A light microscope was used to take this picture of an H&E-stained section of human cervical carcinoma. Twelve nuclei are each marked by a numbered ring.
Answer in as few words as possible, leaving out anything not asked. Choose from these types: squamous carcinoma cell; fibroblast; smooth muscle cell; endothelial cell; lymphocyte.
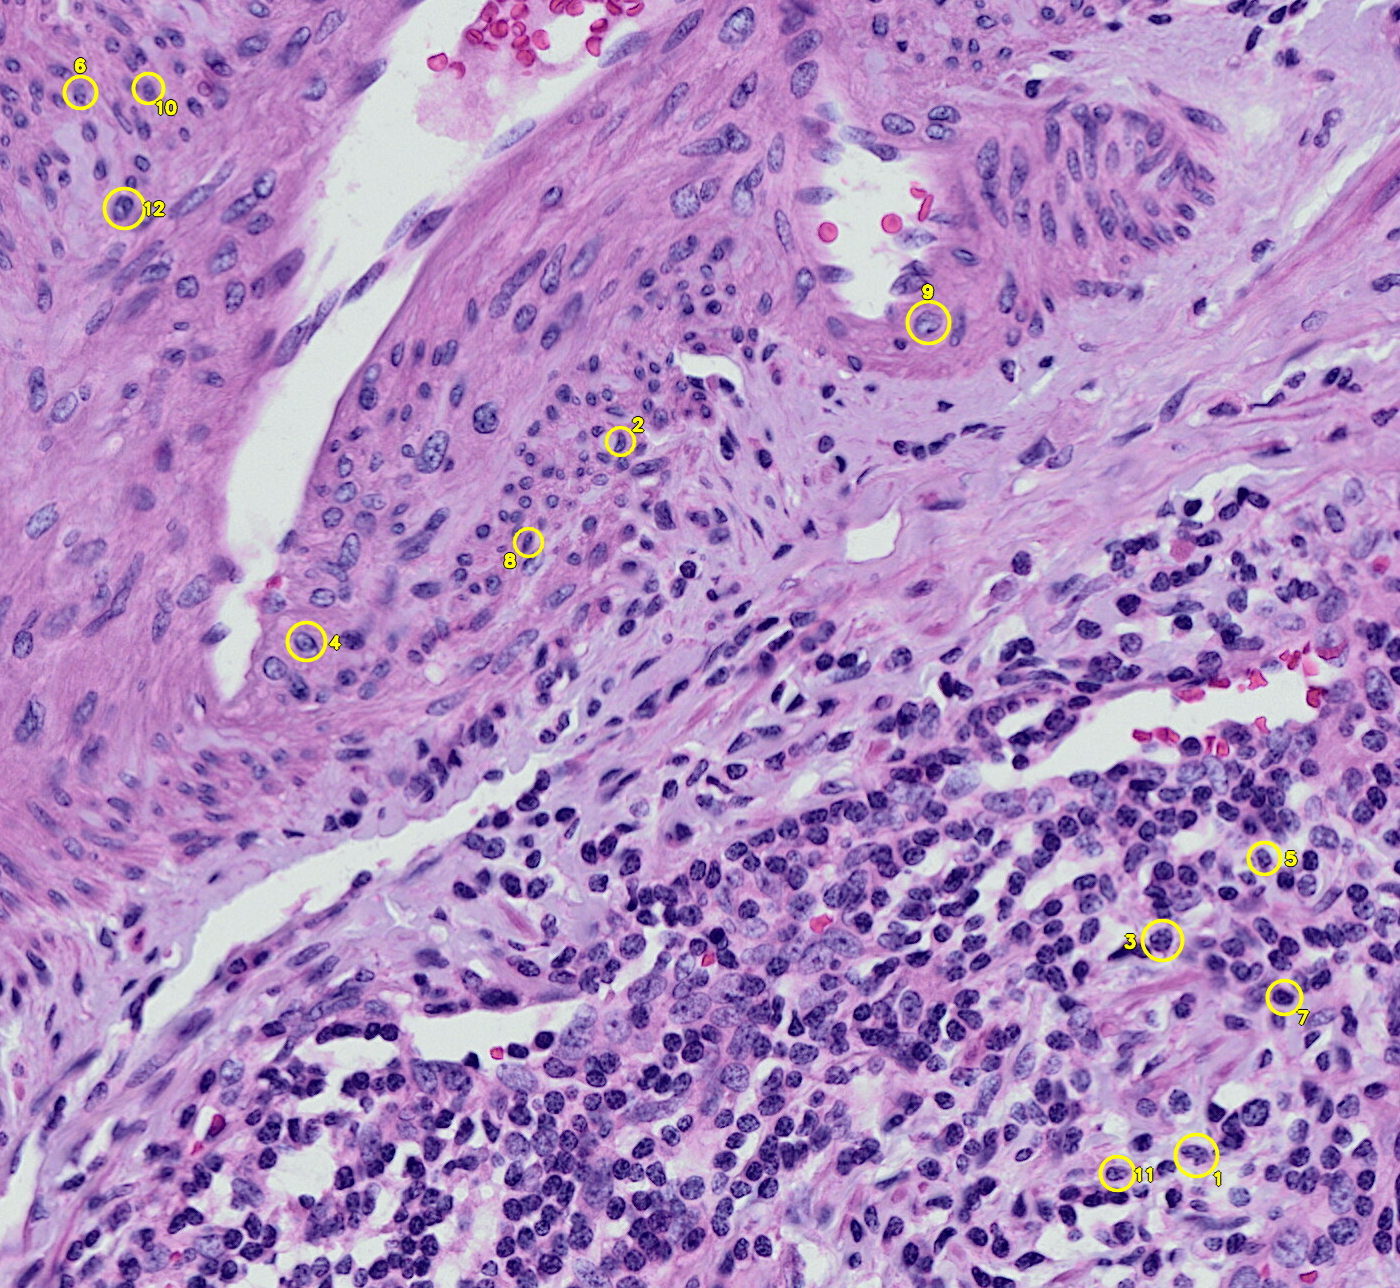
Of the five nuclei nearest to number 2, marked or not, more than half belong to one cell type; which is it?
smooth muscle cell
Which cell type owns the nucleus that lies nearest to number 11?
lymphocyte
